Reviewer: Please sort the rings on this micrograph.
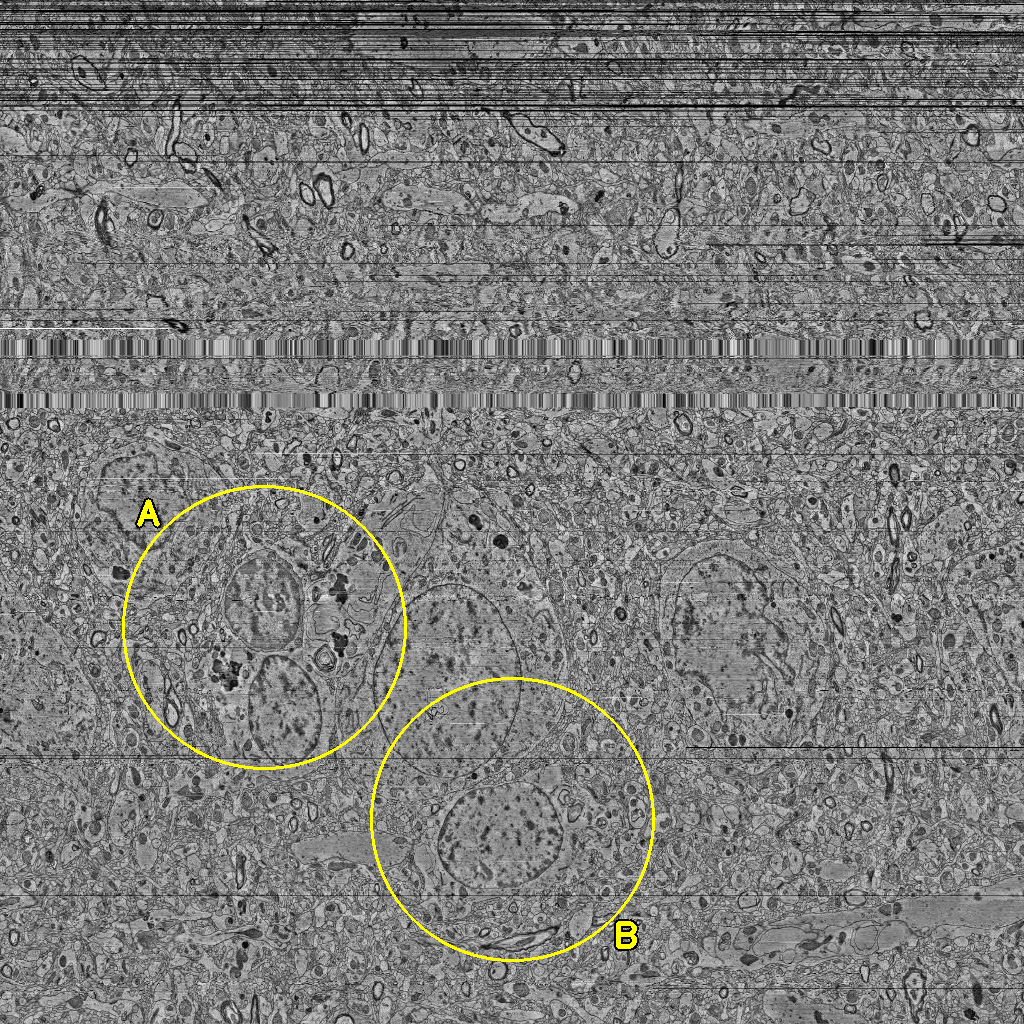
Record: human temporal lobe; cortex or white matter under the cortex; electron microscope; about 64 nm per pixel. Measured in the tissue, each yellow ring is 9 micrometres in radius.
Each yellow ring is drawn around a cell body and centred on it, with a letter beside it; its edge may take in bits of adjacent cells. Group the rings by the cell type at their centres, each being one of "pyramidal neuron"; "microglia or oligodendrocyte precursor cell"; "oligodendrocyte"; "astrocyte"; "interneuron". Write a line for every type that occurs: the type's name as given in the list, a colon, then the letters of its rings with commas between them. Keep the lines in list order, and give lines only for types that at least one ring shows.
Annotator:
oligodendrocyte: A
astrocyte: B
